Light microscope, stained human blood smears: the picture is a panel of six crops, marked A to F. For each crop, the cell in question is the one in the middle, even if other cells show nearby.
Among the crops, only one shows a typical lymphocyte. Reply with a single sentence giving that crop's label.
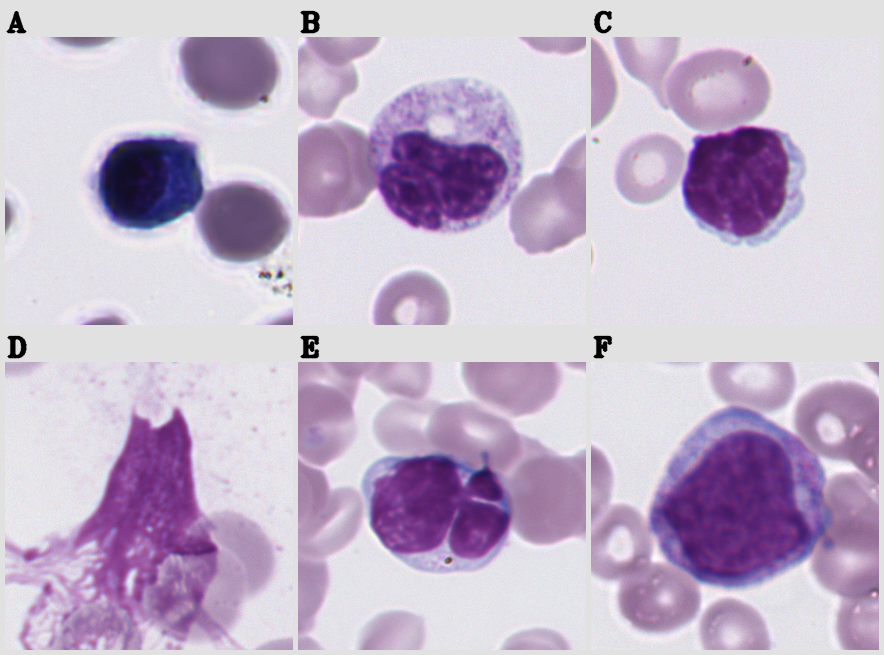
Look at crop C; that is the one with a typical lymphocyte in its center.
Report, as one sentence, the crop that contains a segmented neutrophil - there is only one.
The requested cell, a segmented neutrophil, is the one in crop B.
